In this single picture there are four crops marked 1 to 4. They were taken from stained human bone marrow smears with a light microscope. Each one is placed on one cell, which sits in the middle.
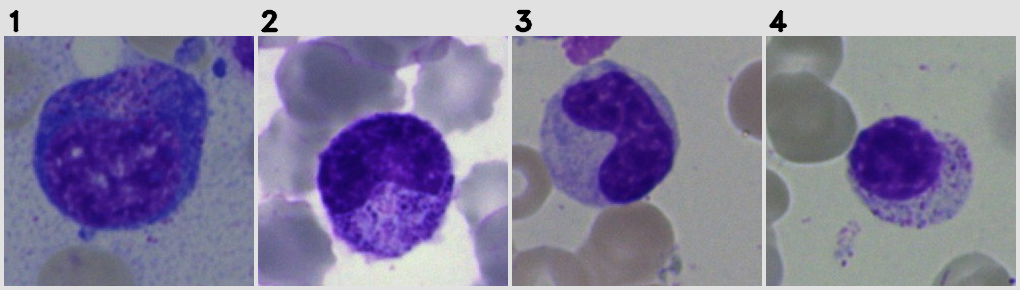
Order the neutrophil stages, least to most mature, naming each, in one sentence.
Ordered by maturity, from least to most, the crops are crop 1 (a promyelocyte), crop 4 (a myelocyte), crop 2 (a metamyelocyte) and crop 3 (a band neutrophil).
